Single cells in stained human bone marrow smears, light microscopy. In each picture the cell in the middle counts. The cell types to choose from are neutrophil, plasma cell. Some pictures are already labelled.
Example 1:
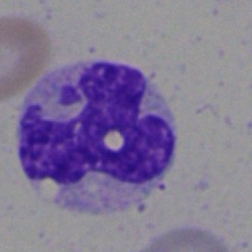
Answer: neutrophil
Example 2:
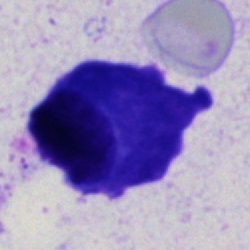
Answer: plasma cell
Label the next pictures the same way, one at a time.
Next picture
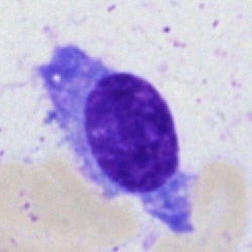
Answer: plasma cell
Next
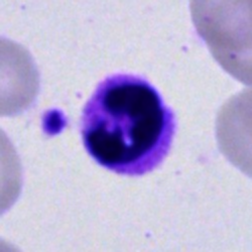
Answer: neutrophil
